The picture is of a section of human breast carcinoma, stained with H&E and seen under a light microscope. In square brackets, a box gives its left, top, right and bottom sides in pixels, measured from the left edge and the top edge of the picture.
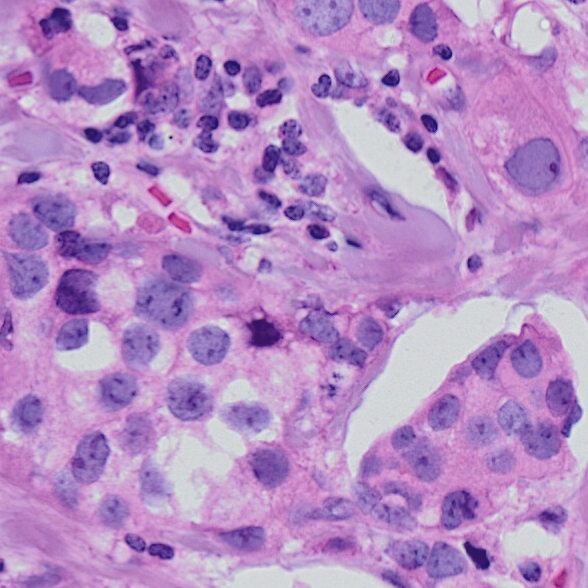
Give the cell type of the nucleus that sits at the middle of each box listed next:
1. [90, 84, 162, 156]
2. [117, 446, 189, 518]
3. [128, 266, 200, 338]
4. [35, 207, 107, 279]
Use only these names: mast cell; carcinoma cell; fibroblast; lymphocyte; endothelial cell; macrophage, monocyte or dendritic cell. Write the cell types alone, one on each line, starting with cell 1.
lymphocyte
carcinoma cell
carcinoma cell
carcinoma cell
